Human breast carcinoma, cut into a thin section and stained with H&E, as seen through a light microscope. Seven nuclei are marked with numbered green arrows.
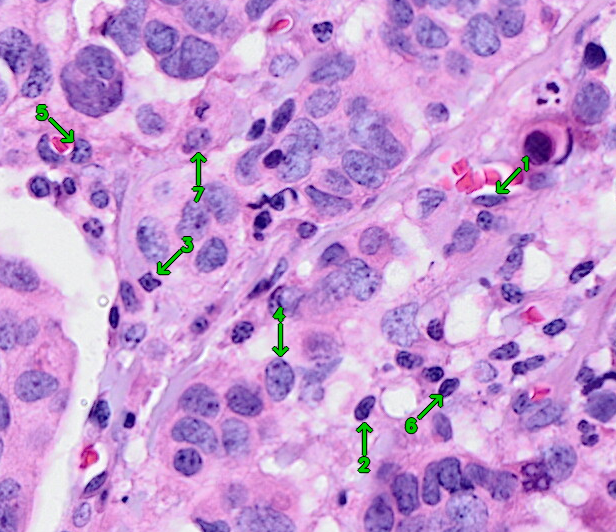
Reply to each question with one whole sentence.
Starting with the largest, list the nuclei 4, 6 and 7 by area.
The nuclei rank 4, 7, 6, from largest to smallest.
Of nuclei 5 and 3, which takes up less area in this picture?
It is nucleus 3; nucleus 5 has about 1.5 times its area.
